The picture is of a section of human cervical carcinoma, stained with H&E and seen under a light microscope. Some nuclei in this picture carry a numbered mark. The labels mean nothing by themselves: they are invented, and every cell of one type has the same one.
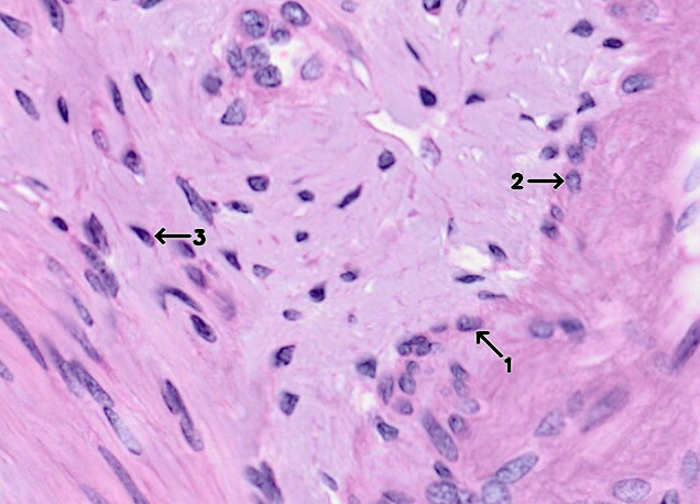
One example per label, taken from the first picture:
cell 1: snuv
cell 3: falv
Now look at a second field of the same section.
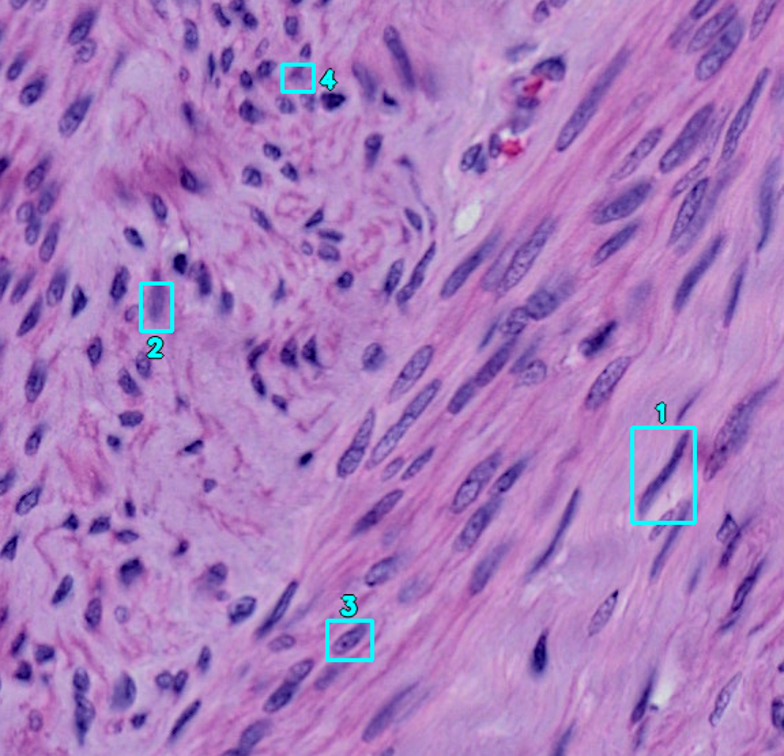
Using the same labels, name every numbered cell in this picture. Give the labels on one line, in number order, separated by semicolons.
falv; snuv; snuv; snuv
